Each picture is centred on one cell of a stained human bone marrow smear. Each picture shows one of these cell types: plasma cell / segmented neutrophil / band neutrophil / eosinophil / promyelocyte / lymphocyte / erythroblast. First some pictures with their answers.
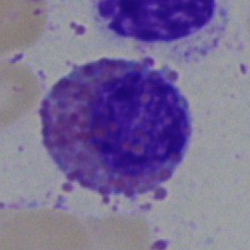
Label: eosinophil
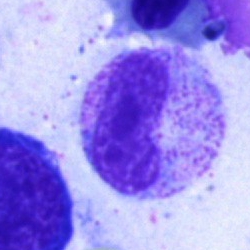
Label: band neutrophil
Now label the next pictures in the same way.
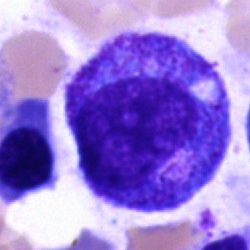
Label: promyelocyte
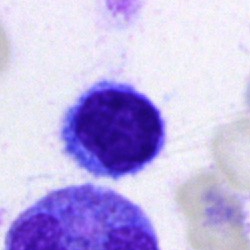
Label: lymphocyte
